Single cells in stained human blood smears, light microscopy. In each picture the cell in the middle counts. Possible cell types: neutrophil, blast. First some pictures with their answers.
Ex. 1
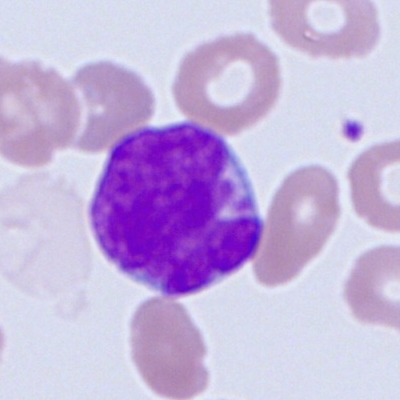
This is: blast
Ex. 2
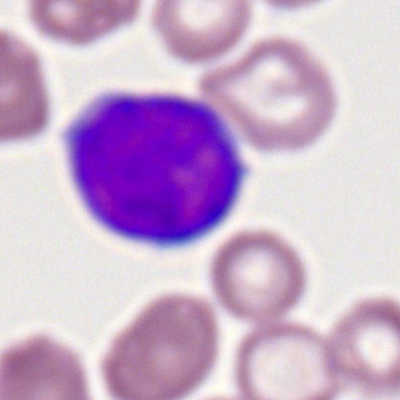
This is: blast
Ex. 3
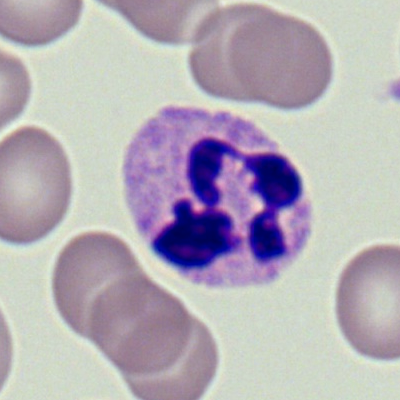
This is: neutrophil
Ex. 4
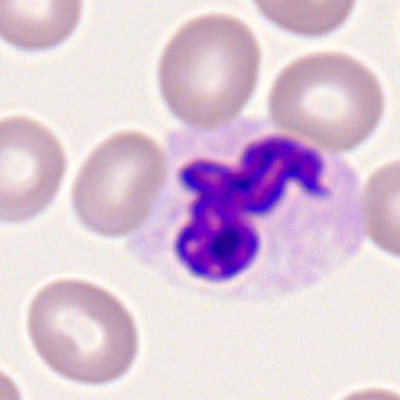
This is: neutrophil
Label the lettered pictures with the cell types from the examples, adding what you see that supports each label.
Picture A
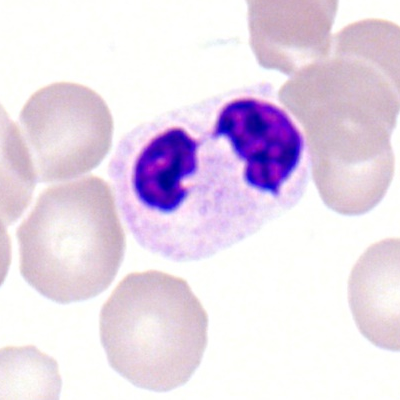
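Label: neutrophil. The nucleus forms two separate lobes, one on the left and one on the right.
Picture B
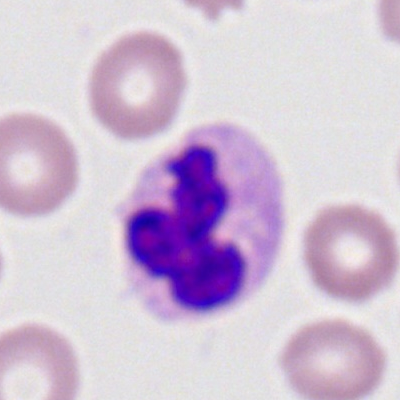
Label: neutrophil. The nucleus is divided into several lobes that stay joined together.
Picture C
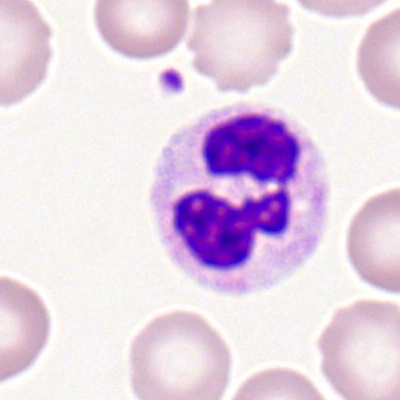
Label: neutrophil. The cytoplasm is abundant and pale pink.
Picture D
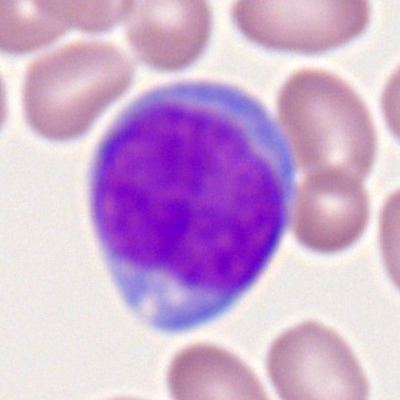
Label: blast. The nucleus fills most of the cell.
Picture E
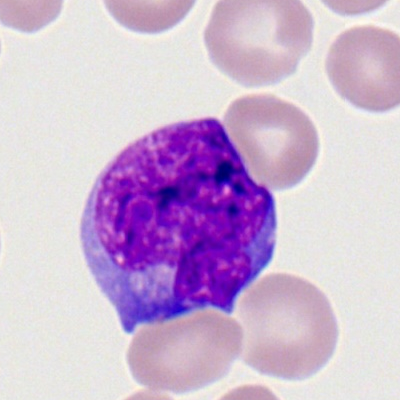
Label: blast. The nucleus fills most of the cell and is irregular, with a deep cleft running up from its lower edge.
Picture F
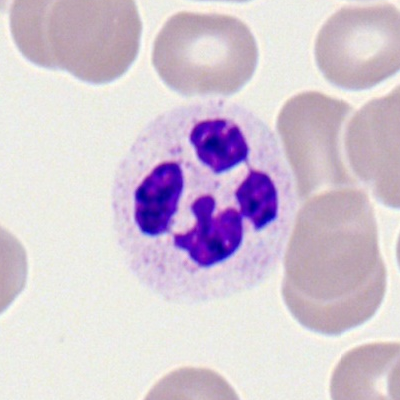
Label: neutrophil. The nucleus is divided into at least four separate-looking lobes.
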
